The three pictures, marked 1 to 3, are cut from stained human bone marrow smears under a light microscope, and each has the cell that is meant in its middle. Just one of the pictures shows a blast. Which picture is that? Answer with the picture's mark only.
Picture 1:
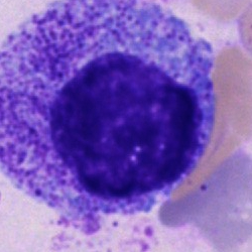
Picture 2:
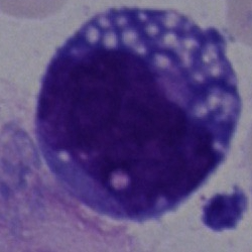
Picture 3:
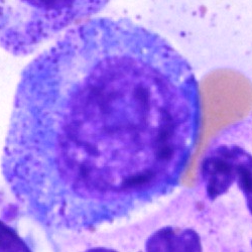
2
